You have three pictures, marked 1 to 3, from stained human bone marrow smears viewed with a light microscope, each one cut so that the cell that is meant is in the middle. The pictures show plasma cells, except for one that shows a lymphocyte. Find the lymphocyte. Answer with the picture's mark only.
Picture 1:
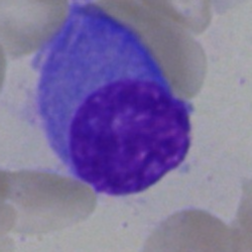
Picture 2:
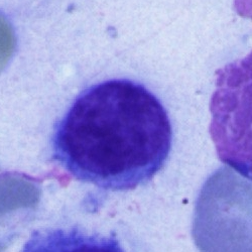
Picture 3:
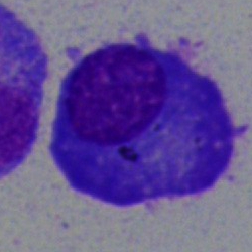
2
